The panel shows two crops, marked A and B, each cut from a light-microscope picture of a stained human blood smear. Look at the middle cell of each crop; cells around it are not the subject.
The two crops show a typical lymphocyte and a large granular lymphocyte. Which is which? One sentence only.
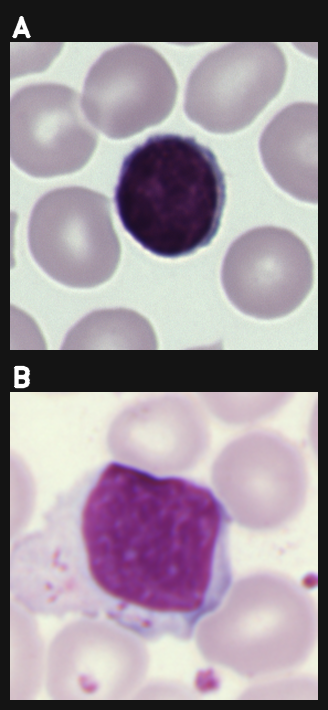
Crop A is a typical lymphocyte; crop B, on the other hand, is a large granular lymphocyte.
